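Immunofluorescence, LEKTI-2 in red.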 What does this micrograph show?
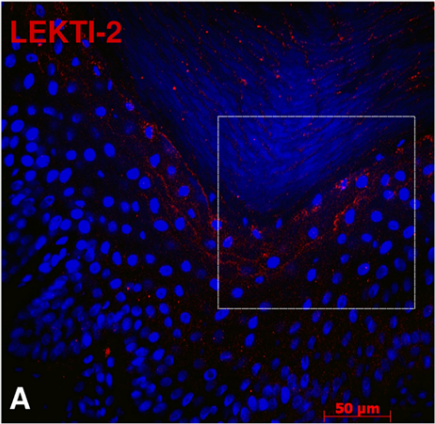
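This is epidermis of skin with many keratinocytes bearing oval blue nuclei beneath a thick, layered, anucleate stratum corneum that dips down into a V. Red dots and faint red lines are concentrated in the cell layer just beneath the stratum corneum, with scattered red dots also within the stratum corneum.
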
